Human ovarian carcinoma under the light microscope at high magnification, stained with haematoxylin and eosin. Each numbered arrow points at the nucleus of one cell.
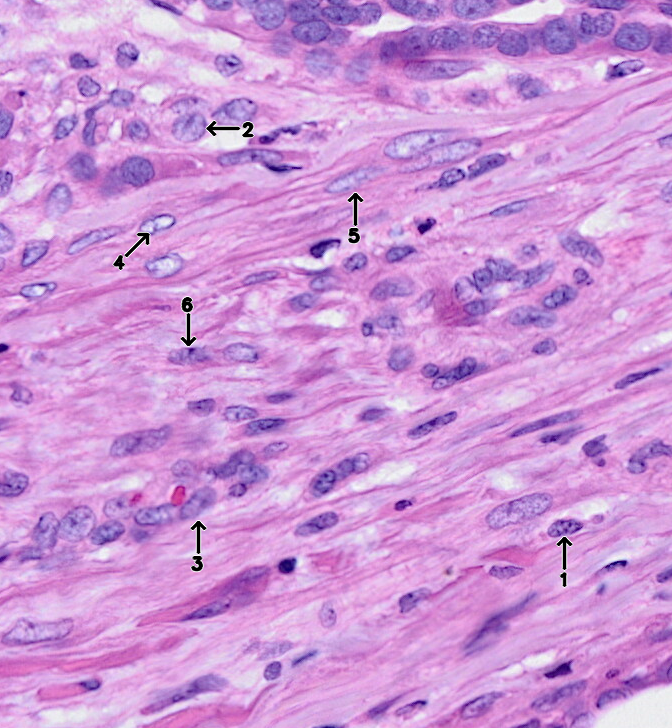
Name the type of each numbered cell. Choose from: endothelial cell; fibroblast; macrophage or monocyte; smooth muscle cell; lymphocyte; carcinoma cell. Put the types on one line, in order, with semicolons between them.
macrophage or monocyte; fibroblast; endothelial cell; fibroblast; fibroblast; fibroblast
